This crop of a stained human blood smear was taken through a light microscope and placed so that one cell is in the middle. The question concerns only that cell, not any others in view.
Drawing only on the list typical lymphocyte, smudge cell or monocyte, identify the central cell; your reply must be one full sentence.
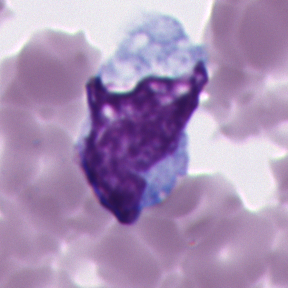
Regarding the central cell, it is a monocyte.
